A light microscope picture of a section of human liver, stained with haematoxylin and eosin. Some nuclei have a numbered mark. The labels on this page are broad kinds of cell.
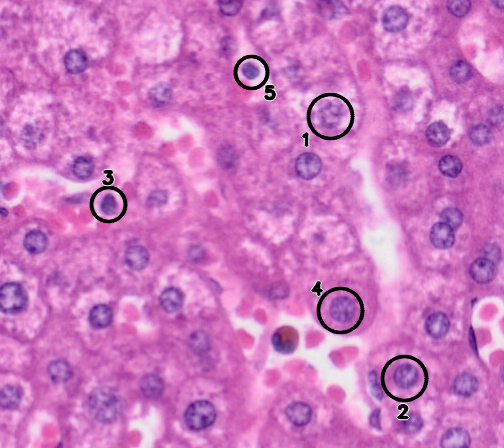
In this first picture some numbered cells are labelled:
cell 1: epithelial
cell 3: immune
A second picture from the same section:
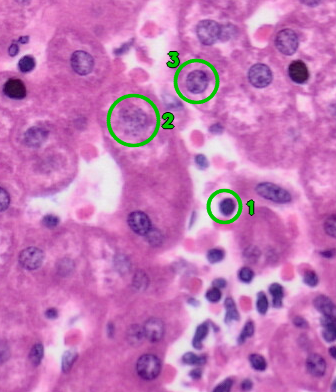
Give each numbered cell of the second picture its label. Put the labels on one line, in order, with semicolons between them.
immune; epithelial; epithelial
